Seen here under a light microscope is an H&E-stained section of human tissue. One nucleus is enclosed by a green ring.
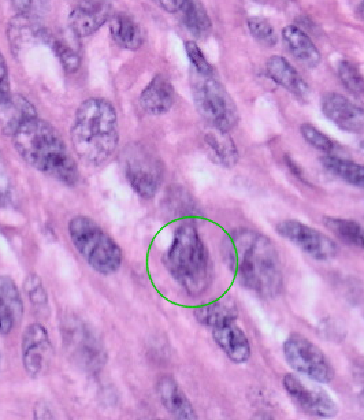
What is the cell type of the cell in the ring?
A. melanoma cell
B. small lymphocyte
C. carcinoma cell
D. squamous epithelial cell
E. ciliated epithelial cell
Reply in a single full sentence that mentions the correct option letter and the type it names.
Answer with option A; the cell in the ring is a melanoma cell.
